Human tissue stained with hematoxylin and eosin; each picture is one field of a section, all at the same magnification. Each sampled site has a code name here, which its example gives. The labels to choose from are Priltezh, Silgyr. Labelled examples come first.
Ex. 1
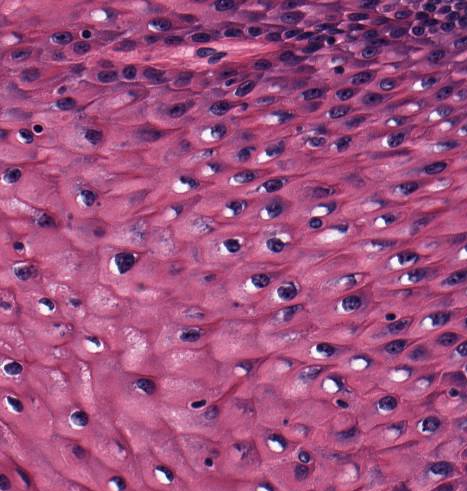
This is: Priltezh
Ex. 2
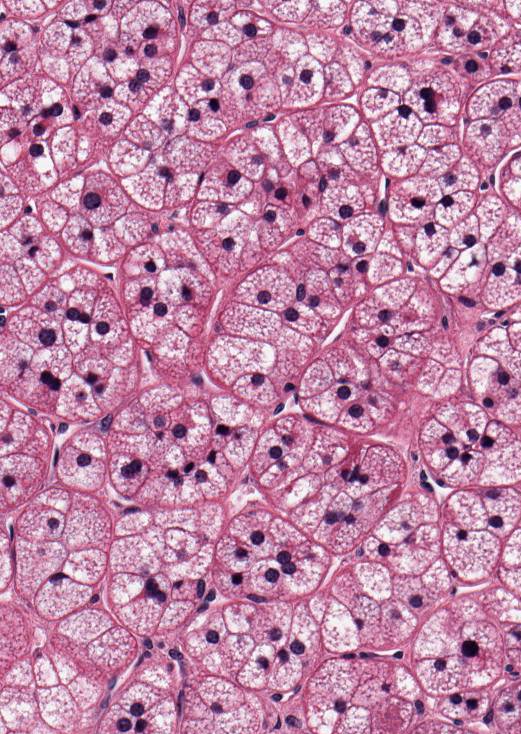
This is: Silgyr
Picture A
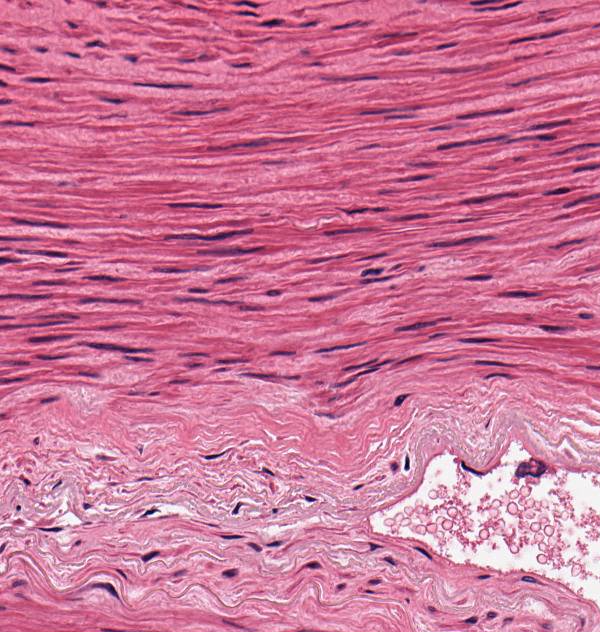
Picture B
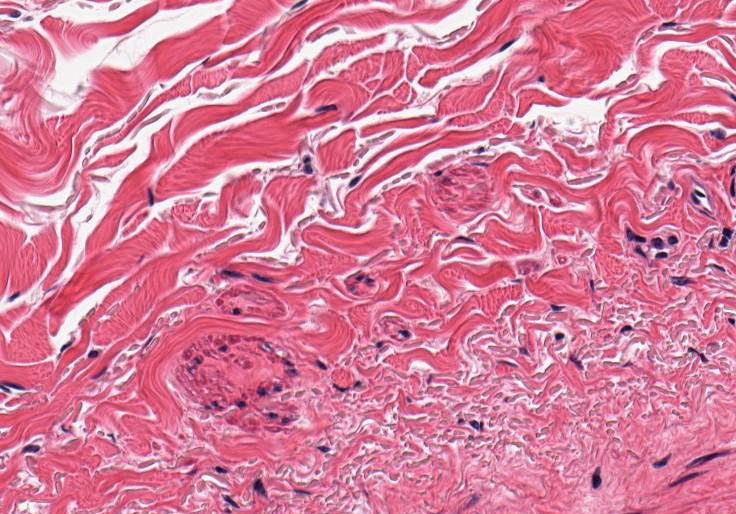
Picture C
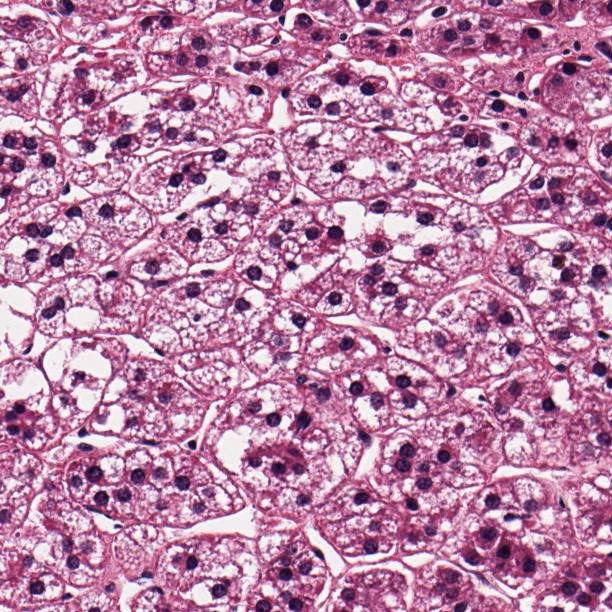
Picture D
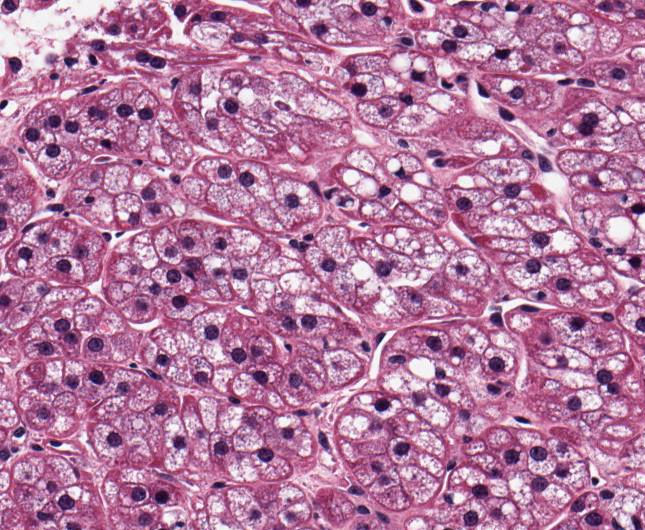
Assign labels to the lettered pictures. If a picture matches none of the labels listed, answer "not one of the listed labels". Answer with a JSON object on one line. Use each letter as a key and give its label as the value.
{"A": "not one of the listed labels", "B": "not one of the listed labels", "C": "Silgyr", "D": "Silgyr"}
